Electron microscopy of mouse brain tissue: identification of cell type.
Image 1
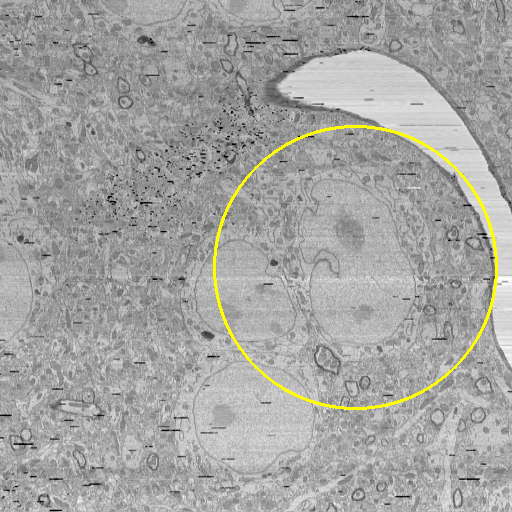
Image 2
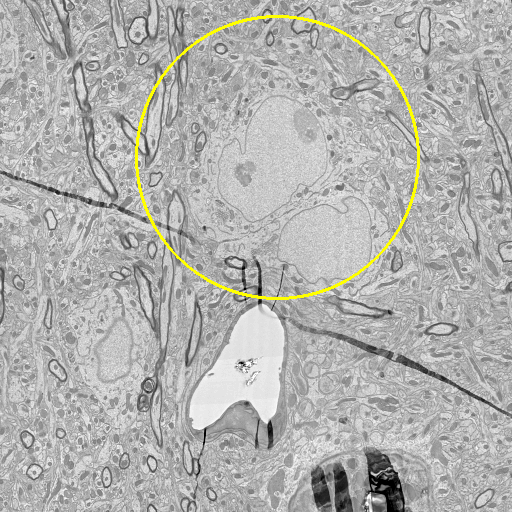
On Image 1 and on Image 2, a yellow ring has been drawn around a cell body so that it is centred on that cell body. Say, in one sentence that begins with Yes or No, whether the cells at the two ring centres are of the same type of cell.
No, the two cells are two separate types of cell.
